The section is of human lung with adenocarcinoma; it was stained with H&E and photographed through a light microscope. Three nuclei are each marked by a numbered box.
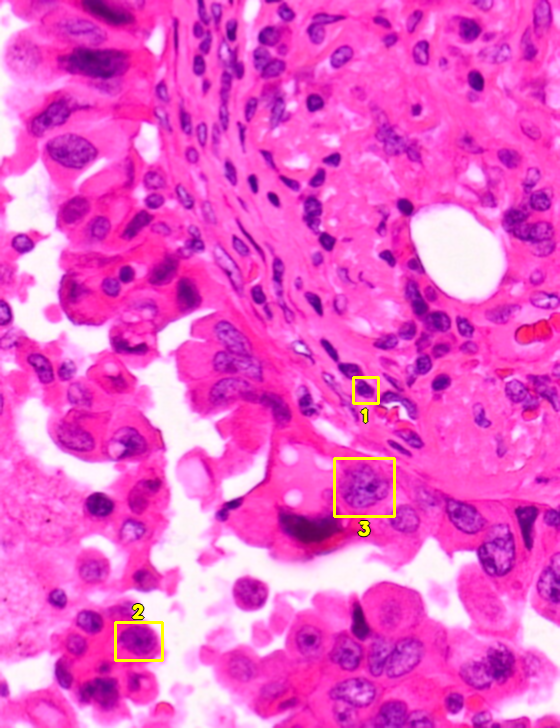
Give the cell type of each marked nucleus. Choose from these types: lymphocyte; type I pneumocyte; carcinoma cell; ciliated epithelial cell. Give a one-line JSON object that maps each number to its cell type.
{"1": "lymphocyte", "2": "carcinoma cell", "3": "carcinoma cell"}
